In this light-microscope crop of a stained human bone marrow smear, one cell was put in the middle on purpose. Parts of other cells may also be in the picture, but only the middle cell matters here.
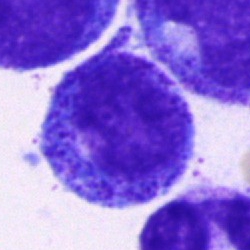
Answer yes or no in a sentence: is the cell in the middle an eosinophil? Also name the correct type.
No, the central cell is a promyelocyte; it should not be labelled an eosinophil.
